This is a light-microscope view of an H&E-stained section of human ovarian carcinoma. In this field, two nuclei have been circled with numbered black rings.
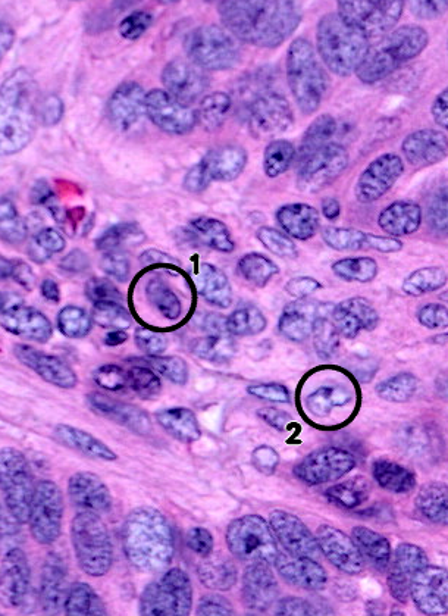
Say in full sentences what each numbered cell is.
Cell 1 is an endothelial cell. Cell 2 is a fibroblast.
